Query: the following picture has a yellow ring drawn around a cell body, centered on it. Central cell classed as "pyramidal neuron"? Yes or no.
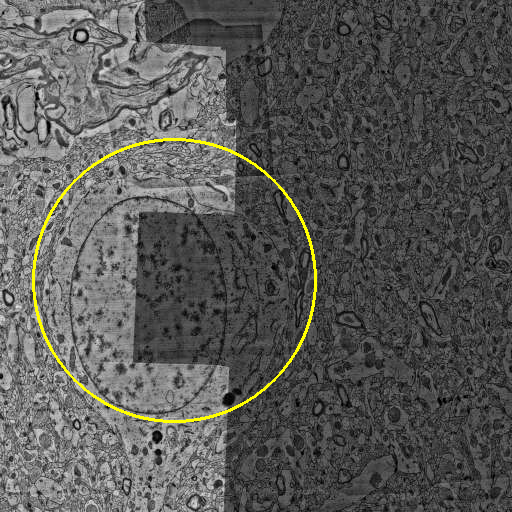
yes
